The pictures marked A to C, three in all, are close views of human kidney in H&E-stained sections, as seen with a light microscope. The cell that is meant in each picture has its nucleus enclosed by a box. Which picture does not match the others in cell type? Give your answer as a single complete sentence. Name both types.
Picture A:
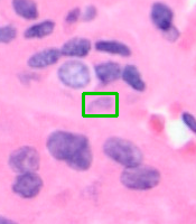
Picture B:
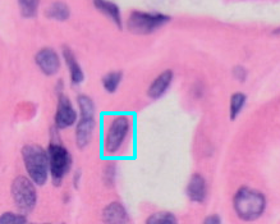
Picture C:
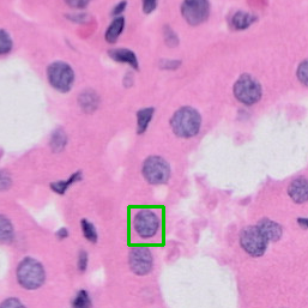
Picture A is the odd one out: it shows a collecting duct cell, while the others show “loop of Henle or distal tubule cells”.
